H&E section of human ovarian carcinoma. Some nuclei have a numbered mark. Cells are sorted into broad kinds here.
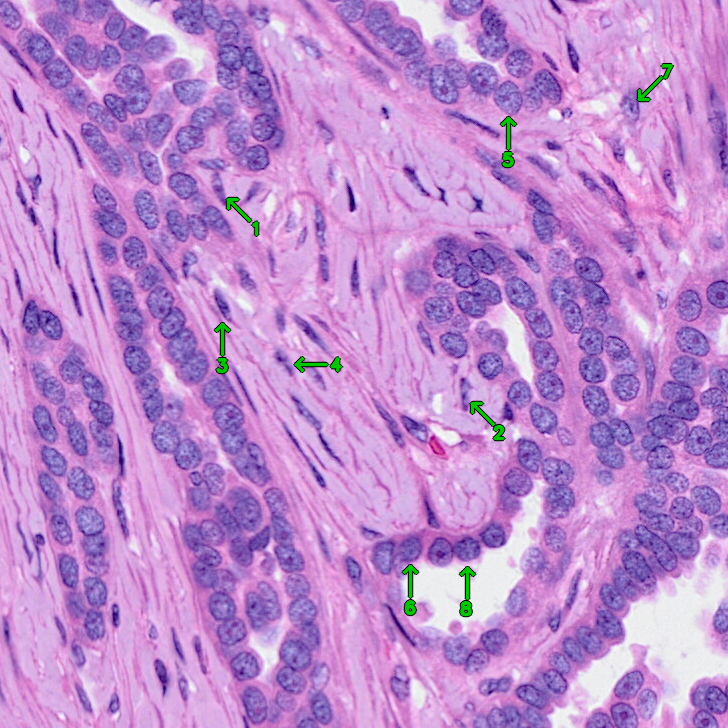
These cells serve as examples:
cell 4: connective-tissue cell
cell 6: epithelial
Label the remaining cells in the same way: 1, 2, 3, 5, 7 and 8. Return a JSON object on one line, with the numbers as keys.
{"1": "connective-tissue cell", "2": "connective-tissue cell", "3": "connective-tissue cell", "5": "epithelial", "7": "connective-tissue cell", "8": "epithelial"}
